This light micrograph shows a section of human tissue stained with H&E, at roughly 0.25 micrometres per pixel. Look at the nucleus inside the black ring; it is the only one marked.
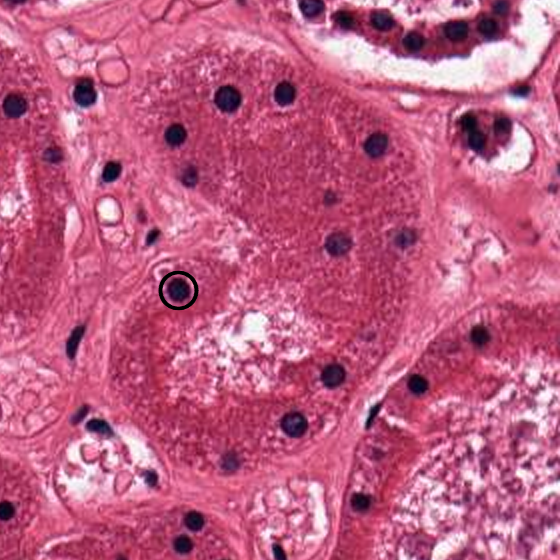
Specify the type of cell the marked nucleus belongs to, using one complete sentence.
The marked nucleus belongs to a proximal tubule cell.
